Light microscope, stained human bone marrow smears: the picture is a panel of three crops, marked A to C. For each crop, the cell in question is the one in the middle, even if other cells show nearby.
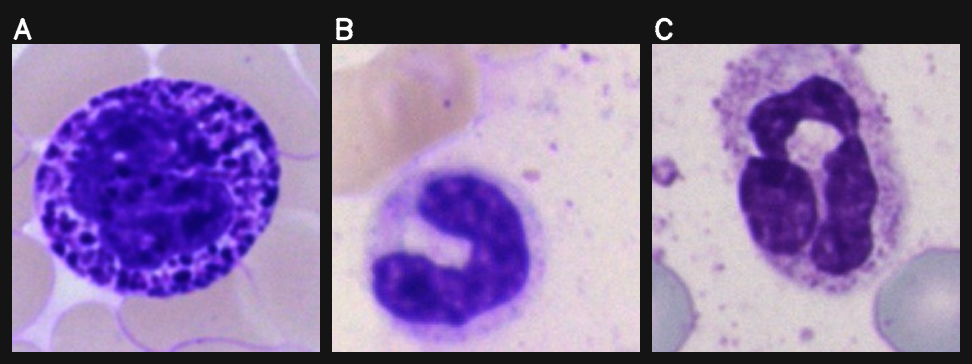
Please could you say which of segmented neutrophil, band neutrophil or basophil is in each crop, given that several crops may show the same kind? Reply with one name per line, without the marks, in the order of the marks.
basophil
band neutrophil
segmented neutrophil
